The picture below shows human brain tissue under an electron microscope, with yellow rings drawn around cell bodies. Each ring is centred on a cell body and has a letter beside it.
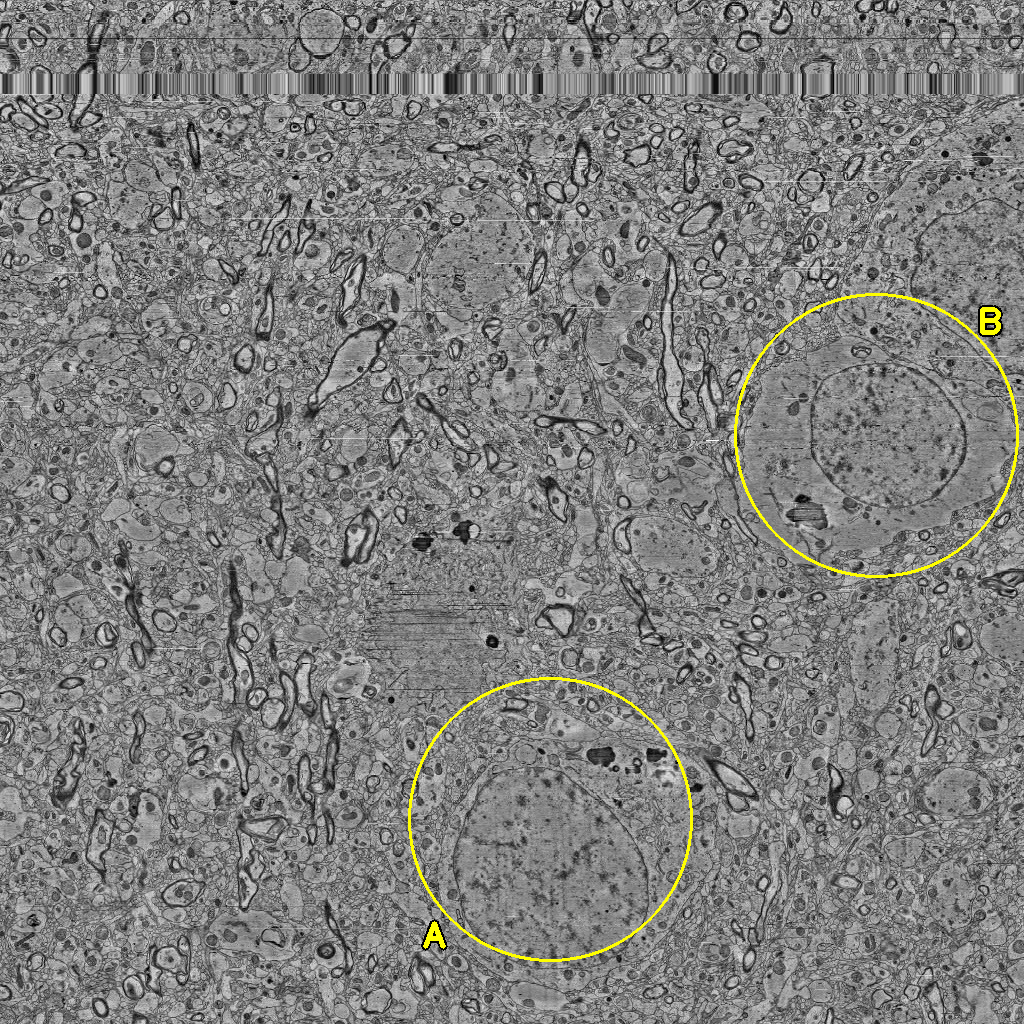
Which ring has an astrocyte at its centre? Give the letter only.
B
